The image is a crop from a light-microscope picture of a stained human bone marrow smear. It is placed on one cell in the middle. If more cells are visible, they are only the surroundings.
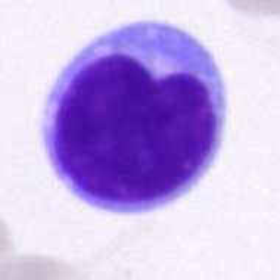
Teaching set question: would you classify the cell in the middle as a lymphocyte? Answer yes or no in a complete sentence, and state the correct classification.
Yes, the cell in the middle of the crop is a lymphocyte.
